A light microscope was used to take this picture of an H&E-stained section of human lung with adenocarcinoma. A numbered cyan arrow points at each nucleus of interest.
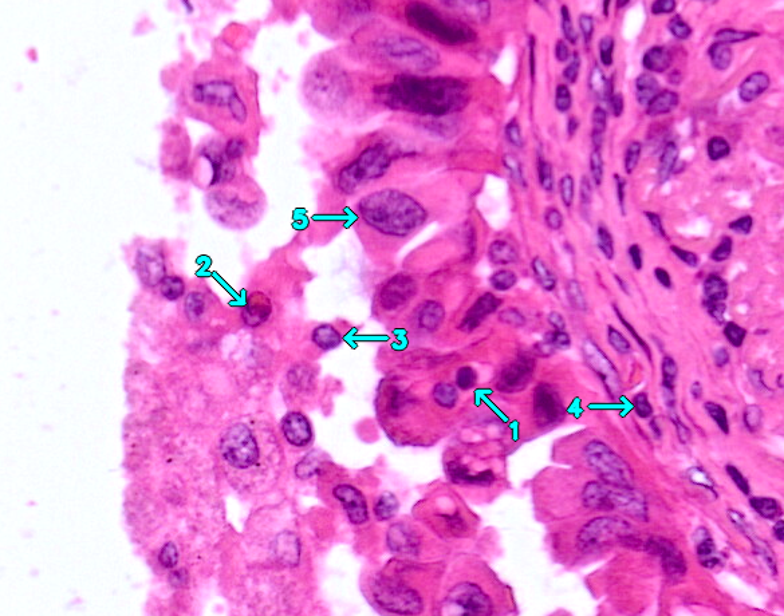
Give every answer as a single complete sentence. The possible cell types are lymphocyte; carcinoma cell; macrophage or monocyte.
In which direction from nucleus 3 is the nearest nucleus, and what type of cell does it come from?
Just below and to the left of nucleus 3 lies the nearest nucleus, which belongs to a macrophage or monocyte.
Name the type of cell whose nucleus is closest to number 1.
It is a lymphocyte whose nucleus is nearest to number 1.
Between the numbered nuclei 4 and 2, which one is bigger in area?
Nucleus 2 is the larger one, covering about 1.5 times the area of nucleus 4.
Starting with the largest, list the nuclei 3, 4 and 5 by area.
The nuclei rank 5, 3, 4, from largest to smallest.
